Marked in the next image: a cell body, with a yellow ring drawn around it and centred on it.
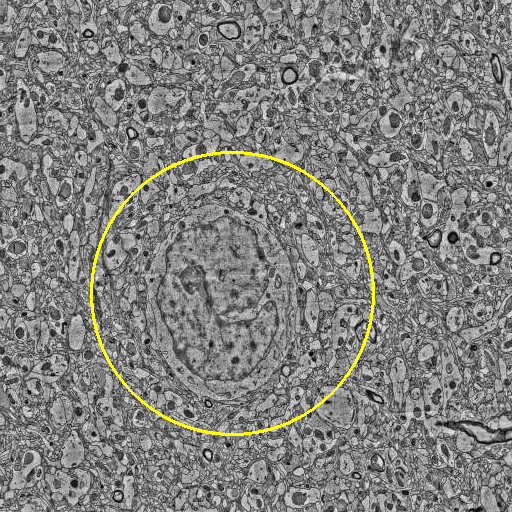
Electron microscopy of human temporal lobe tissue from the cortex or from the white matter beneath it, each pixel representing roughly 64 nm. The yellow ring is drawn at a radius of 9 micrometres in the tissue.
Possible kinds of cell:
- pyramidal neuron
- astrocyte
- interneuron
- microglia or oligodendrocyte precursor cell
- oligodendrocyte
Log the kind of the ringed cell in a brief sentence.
The ringed cell body is that of an interneuron.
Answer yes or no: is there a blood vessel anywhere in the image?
No, a blood vessel is absent from this picture.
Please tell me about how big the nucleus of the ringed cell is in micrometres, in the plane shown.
About 10 by 8 micrometres in this plane.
